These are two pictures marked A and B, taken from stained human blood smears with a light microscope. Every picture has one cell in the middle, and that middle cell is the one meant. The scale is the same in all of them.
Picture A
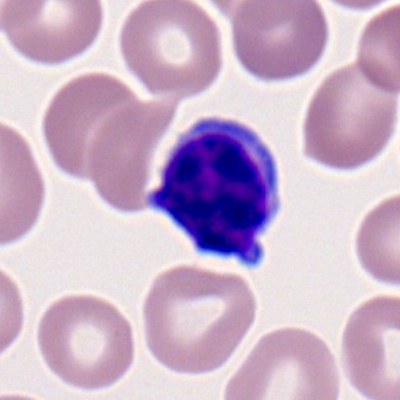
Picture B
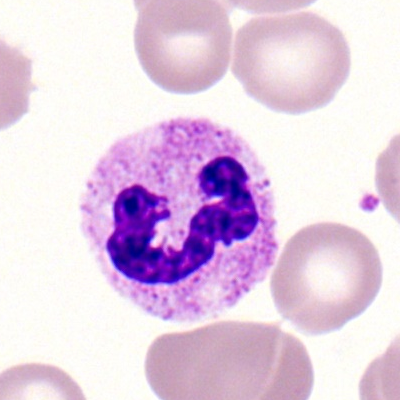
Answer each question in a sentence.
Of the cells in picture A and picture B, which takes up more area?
Larger is the cell in picture B, at roughly 2 times the area of the other.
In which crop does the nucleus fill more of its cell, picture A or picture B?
In picture A the nucleus takes up the larger part of its cell.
